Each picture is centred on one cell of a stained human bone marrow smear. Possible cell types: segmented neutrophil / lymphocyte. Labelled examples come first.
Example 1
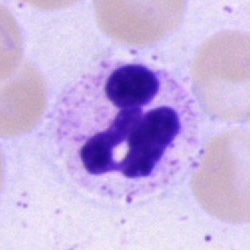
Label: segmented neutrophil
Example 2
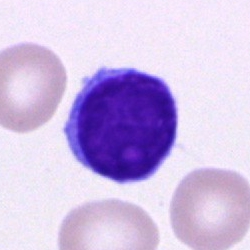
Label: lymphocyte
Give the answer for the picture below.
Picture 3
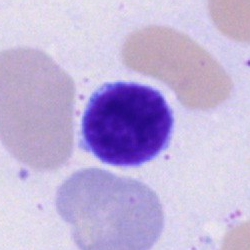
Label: lymphocyte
